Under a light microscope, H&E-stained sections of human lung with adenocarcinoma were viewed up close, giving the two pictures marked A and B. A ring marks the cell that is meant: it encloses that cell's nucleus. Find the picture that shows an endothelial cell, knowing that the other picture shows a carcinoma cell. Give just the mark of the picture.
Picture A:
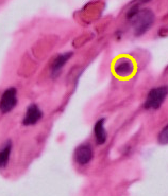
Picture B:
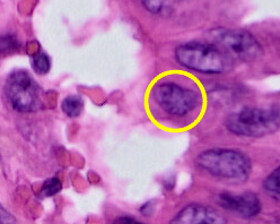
A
